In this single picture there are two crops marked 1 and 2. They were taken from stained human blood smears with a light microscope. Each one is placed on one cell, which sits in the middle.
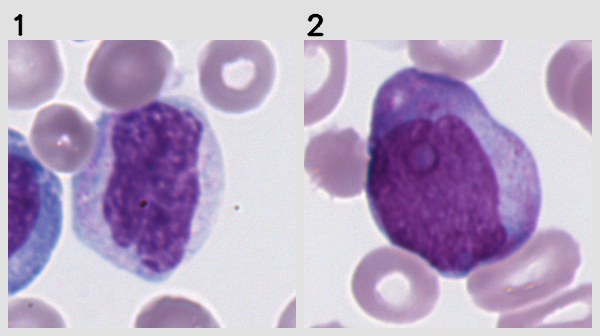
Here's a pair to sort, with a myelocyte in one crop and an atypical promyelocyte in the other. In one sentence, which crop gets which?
The crop marked 1 shows a myelocyte; the crop marked 2 shows an atypical promyelocyte.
